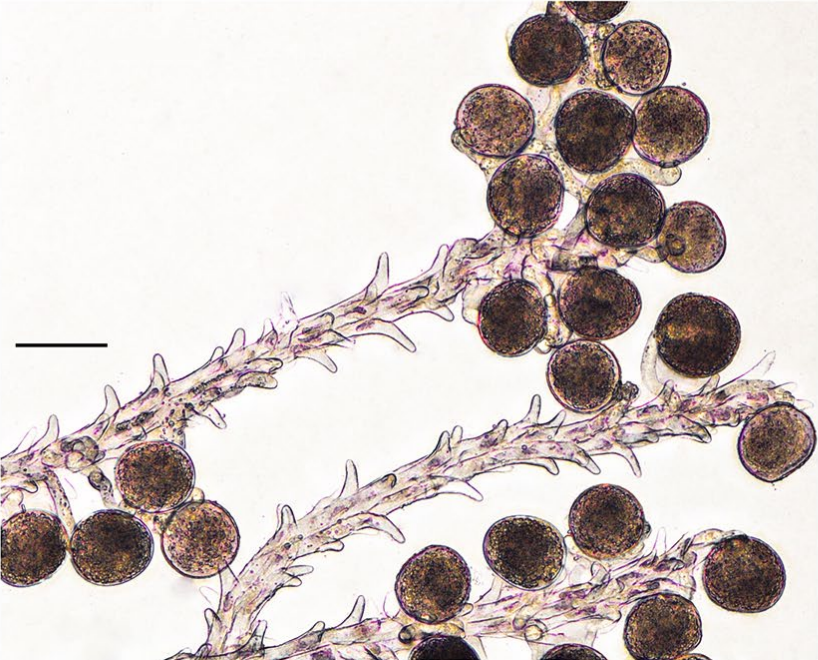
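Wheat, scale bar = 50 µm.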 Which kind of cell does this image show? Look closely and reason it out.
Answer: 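Pollen. Many round, dark brown grains of roughly equal size. The grains have a smooth outer wall and granular contents. The grains sit in clusters along branched, translucent filaments.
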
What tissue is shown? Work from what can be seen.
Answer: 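Pale, translucent branched axes made of elongated cells. Short pointed hair-like projections stick out from the axes. Round grains are caught along these branches.
Conclusion: stigma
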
